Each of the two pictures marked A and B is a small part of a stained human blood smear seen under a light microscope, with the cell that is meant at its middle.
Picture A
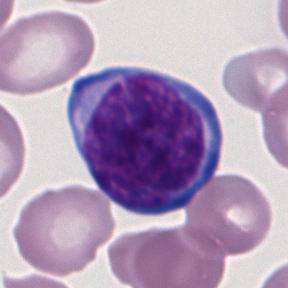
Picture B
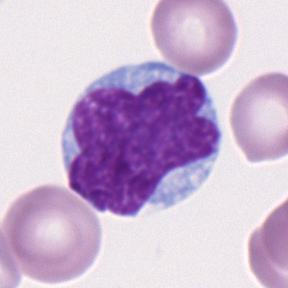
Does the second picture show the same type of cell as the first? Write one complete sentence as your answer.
No. Picture A shows a myeloblast, but picture B shows a monocyte.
